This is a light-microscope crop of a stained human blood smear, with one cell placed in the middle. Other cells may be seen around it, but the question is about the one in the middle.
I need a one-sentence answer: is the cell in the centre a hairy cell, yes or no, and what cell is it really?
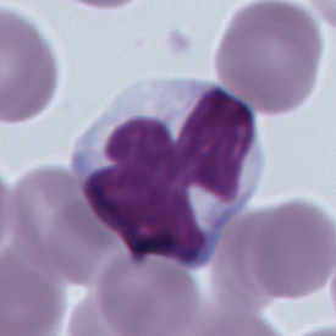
No, this one is a large granular lymphocyte; it is not a hairy cell.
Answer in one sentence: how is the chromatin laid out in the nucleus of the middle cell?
Chromatin texture is fine, and coarse clumps are absent.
